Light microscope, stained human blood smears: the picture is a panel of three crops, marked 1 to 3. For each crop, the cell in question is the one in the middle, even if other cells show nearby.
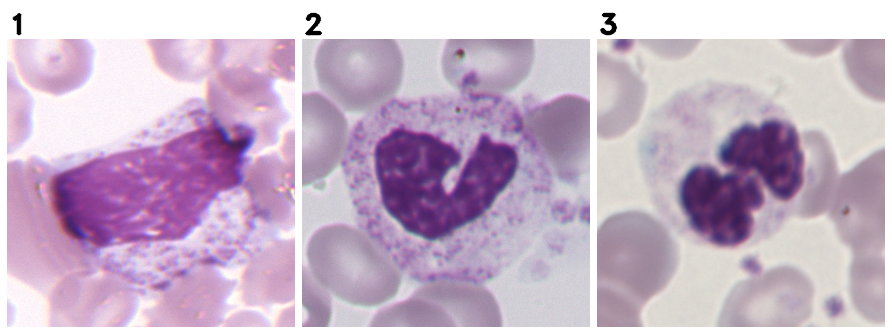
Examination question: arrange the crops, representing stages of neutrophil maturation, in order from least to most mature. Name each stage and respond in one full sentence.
Sequenced by maturity, least first, the crops are crop 1 (a myelocyte), crop 2 (a band neutrophil) and crop 3 (a segmented neutrophil).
